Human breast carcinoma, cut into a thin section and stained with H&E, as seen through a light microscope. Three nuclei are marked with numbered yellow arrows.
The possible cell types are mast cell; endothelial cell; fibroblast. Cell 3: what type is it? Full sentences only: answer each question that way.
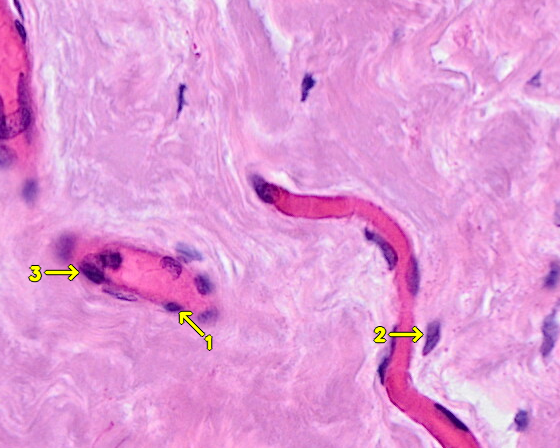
Identified by the number 3, the cell is an endothelial cell.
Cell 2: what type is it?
Of the numbered cells, the one labelled 2 is a fibroblast.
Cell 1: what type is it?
In this section, the cell numbered 1 is an endothelial cell.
